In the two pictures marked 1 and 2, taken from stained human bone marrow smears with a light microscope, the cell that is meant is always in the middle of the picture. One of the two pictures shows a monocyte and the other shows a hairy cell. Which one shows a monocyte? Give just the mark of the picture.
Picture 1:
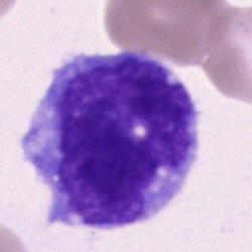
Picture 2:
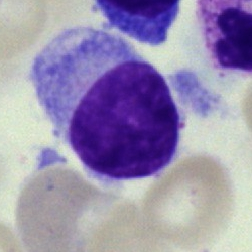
1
